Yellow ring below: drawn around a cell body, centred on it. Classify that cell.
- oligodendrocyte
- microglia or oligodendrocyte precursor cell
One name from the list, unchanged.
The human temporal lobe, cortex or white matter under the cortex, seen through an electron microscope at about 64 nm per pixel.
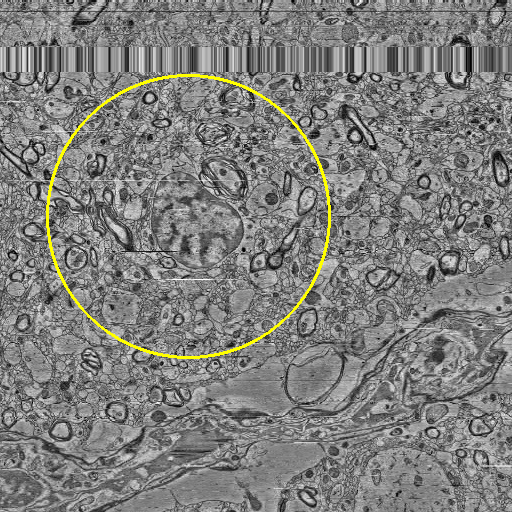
microglia or oligodendrocyte precursor cell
